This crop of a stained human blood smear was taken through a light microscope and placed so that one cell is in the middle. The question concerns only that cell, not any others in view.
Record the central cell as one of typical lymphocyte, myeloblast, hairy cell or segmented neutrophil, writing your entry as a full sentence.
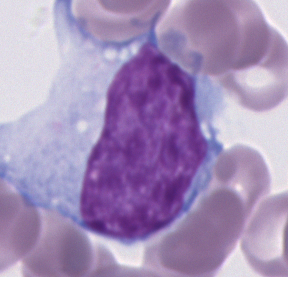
At the crop's centre, the cell is a myeloblast.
